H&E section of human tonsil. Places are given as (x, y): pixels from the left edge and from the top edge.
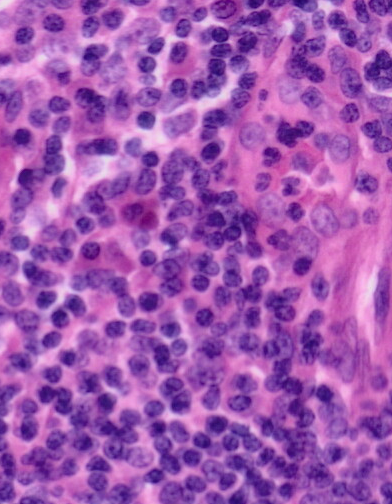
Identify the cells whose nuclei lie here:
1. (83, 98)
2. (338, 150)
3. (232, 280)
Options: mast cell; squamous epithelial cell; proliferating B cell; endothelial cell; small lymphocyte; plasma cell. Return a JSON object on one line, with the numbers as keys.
{"1": "plasma cell", "2": "endothelial cell", "3": "small lymphocyte"}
